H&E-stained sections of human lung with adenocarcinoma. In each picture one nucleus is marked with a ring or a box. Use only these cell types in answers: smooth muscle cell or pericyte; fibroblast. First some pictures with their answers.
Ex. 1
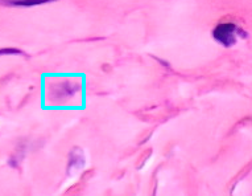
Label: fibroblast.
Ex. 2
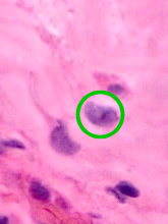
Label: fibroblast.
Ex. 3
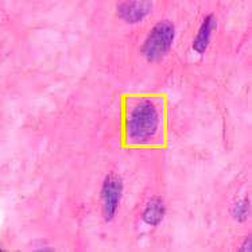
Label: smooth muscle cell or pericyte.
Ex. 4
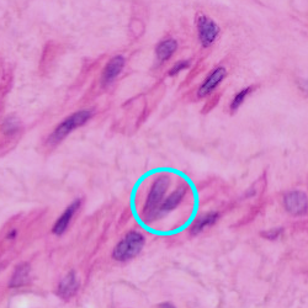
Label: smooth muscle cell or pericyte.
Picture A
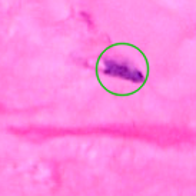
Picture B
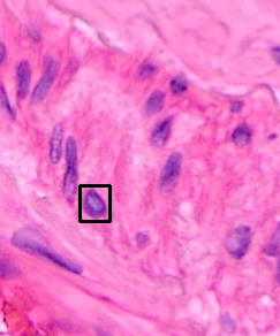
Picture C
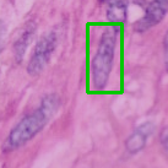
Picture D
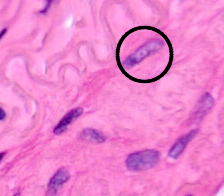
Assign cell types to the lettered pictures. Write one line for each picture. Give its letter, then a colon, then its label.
A: fibroblast.
B: smooth muscle cell or pericyte.
C: smooth muscle cell or pericyte.
D: smooth muscle cell or pericyte.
